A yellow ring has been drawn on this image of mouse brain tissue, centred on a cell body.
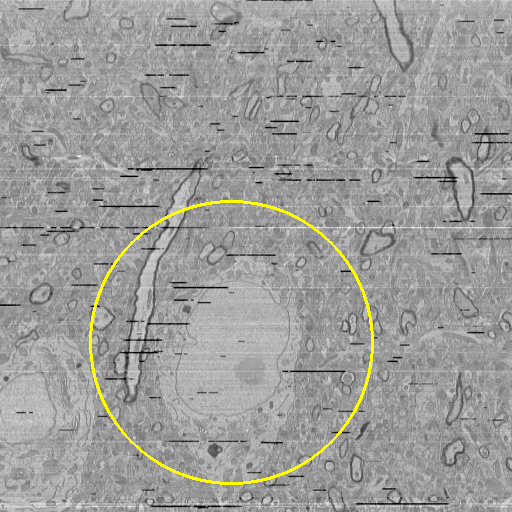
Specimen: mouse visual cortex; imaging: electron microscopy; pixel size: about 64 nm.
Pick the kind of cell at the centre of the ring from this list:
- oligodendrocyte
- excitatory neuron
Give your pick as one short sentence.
The centre of the ring holds an excitatory neuron.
